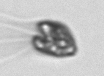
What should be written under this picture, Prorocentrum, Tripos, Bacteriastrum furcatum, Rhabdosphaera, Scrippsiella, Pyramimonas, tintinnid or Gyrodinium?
Pyramimonas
